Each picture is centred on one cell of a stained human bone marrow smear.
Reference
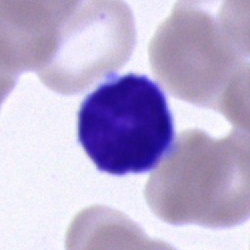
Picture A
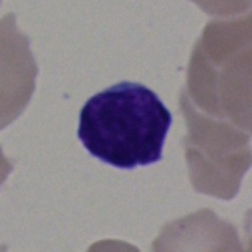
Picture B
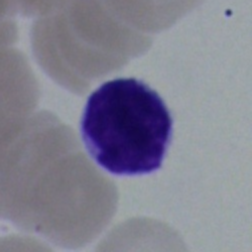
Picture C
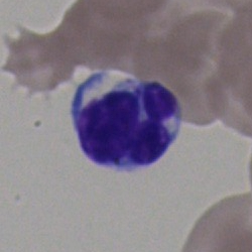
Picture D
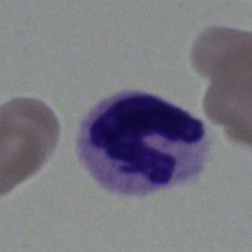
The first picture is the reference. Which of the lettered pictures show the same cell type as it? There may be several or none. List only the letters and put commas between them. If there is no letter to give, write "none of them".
A, B, C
